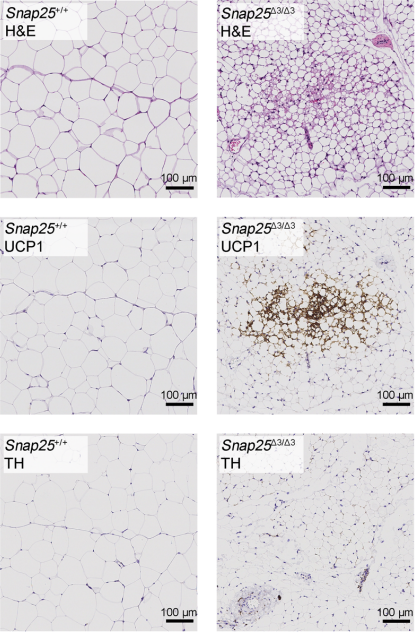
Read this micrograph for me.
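These are sections of white fat tissue, shown as two columns of three images each. In the left column the fat cells are large and polygonal, each holding one big empty-looking vacuole with only a thin pink or grey rim and a few flattened nuclei pressed at the edge. In the right column the fat cells are clearly smaller and more varied, the tissue holds more purple-blue nuclei, and some regions are packed with small cells. In the middle row the right-hand image shows a cluster of small cells stained brown among unstained fat cells, while the left-hand image stays pale throughout. In the bottom row only a few scattered fine brown dots and threads appear, more of them in the right-hand image, with a blood vessel visible near its lower edge.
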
